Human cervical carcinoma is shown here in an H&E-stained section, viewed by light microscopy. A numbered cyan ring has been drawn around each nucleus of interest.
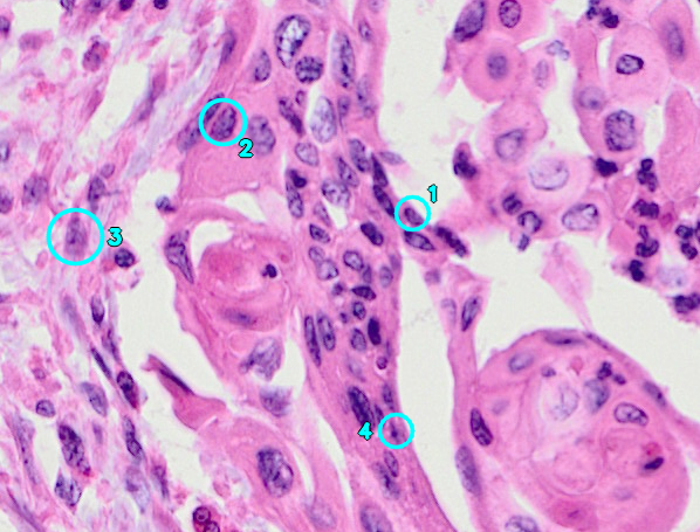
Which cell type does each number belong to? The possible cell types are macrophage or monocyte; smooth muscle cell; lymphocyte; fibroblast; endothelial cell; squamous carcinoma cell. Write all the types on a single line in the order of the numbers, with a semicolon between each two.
squamous carcinoma cell; squamous carcinoma cell; fibroblast; squamous carcinoma cell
